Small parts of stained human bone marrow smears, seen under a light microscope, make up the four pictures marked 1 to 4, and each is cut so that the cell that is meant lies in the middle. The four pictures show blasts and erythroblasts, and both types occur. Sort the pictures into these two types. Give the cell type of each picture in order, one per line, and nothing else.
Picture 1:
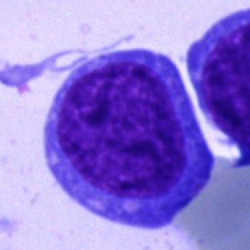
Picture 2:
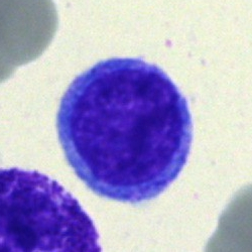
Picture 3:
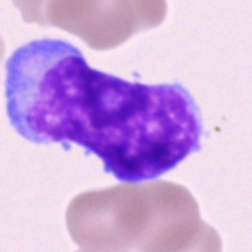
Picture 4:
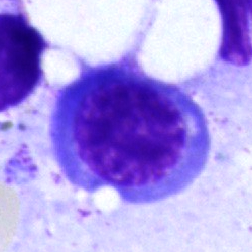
blast
blast
blast
erythroblast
